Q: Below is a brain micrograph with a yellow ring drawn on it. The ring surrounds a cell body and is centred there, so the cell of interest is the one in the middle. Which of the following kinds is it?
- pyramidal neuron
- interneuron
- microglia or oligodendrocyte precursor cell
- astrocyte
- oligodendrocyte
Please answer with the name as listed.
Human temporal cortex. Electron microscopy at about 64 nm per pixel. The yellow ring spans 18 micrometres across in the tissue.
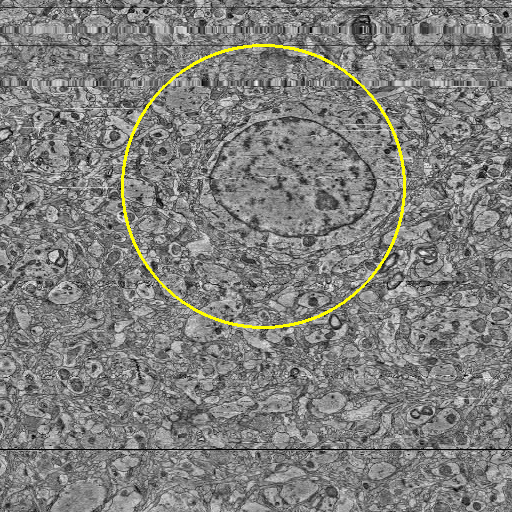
pyramidal neuron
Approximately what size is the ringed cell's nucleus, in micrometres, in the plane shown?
In this plane the nucleus is about 10 micrometres by 8.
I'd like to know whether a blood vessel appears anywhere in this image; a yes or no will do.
No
